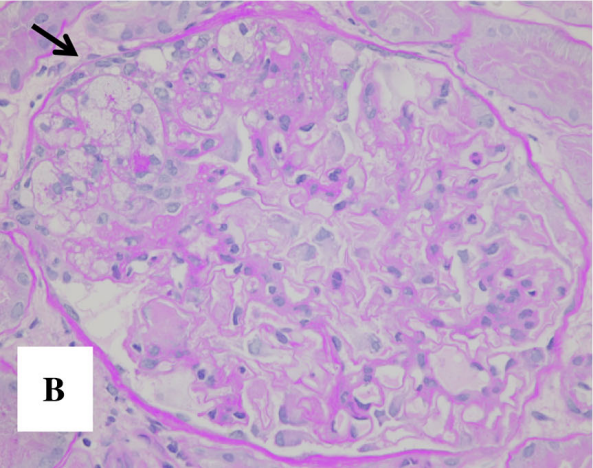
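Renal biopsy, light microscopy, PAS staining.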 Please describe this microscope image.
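A glomerulus of the kidney is shown, enclosed by a magenta-staining Bowman's capsule and surrounded by tubules. In one segment at the upper left, next to the capsule, lies a cluster of foam cells: rounded cells with pale, bubbly, vacuolated cytoplasm and small nuclei. The basement membranes of the capsule and neighbouring tubules stand out as bright magenta lines, and tubular cells with pink cytoplasm line the edges of the field.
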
